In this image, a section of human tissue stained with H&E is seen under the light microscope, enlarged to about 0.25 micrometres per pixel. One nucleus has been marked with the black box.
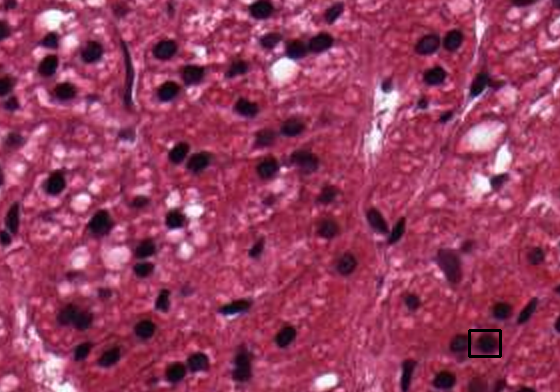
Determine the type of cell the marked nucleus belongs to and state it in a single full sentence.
The mark indicates the nucleus of an adrenal cortical cell.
